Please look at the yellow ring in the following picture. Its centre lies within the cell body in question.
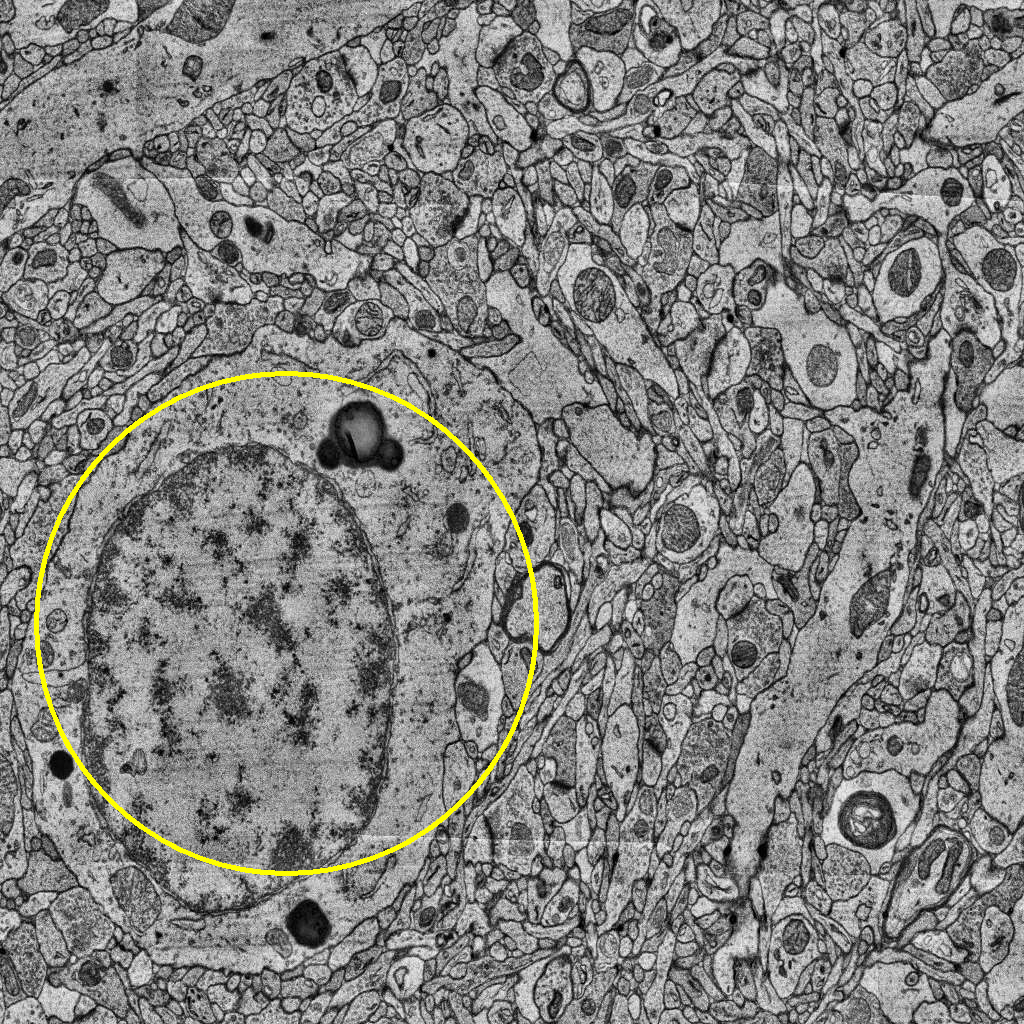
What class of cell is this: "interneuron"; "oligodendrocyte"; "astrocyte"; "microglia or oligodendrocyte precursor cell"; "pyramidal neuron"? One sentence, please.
The centre of the ring lies in the cell body of a pyramidal neuron.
